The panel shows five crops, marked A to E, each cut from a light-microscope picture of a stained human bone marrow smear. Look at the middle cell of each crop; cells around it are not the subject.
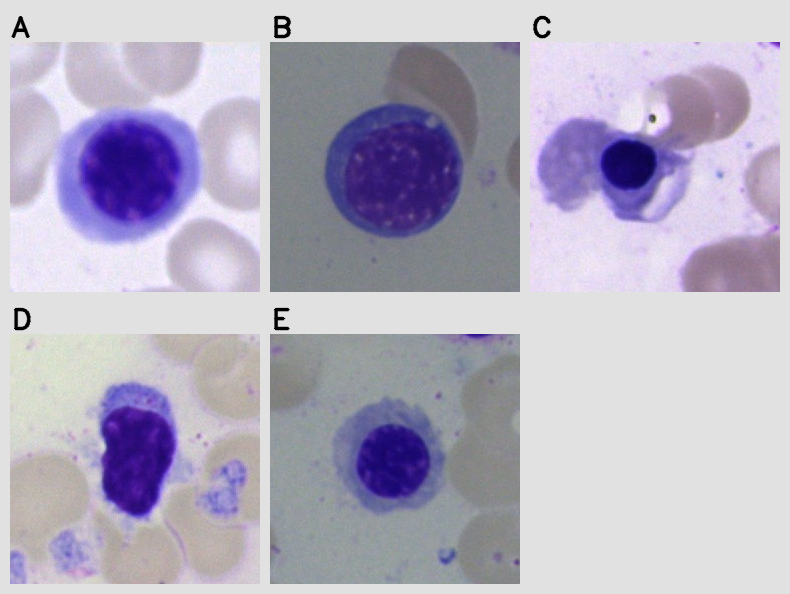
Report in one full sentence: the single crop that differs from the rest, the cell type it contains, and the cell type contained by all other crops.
The set is made up of normoblasts, with the single exception of crop D, which is a lymphocyte.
